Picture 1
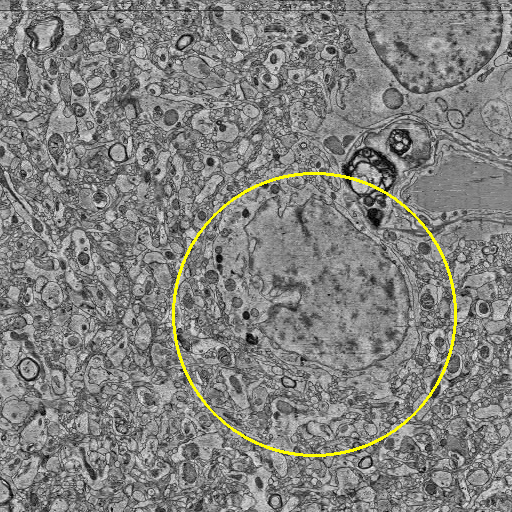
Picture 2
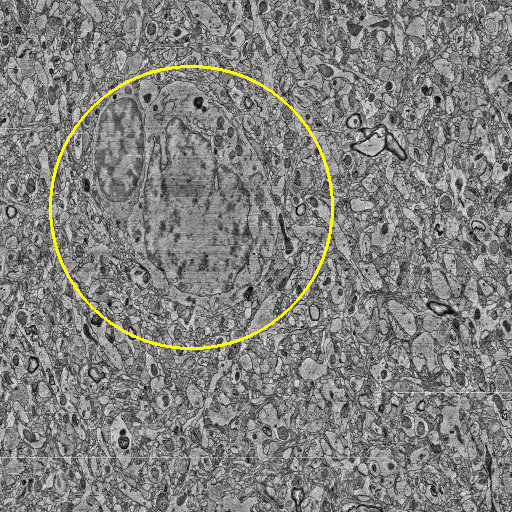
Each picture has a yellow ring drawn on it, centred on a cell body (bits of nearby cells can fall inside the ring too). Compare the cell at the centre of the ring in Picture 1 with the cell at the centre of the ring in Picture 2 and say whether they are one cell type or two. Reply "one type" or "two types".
one type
